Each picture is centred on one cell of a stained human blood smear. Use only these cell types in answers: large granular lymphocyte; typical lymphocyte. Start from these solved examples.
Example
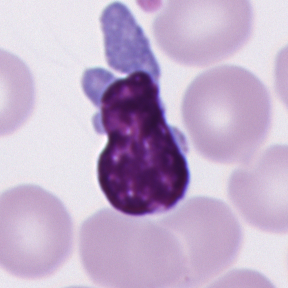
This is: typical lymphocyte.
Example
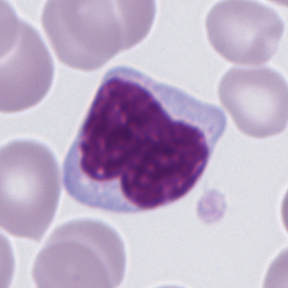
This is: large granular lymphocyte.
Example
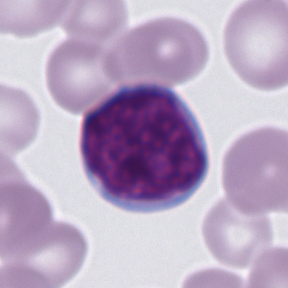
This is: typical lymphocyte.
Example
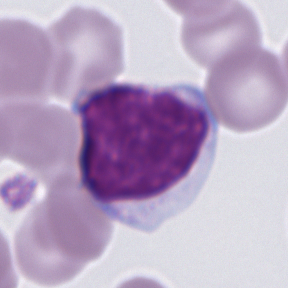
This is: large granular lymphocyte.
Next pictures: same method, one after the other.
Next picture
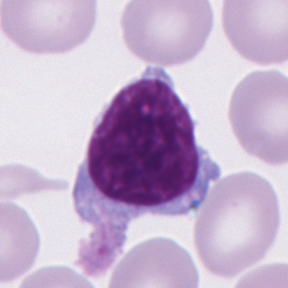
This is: typical lymphocyte.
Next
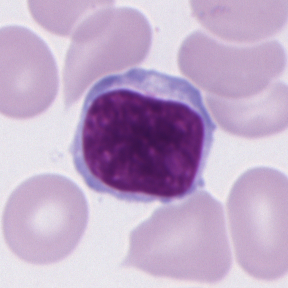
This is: typical lymphocyte.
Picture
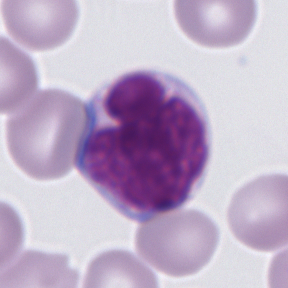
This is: large granular lymphocyte.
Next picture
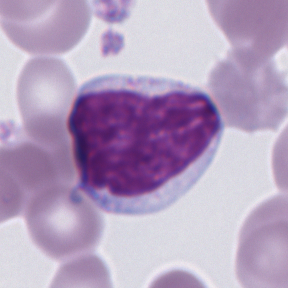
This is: large granular lymphocyte.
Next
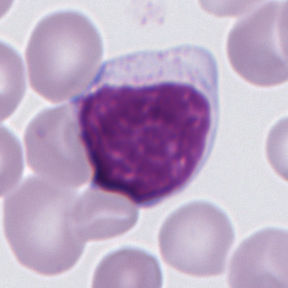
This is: large granular lymphocyte.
